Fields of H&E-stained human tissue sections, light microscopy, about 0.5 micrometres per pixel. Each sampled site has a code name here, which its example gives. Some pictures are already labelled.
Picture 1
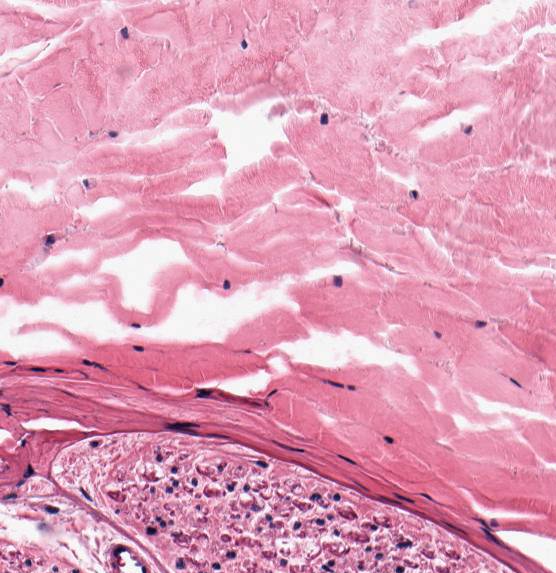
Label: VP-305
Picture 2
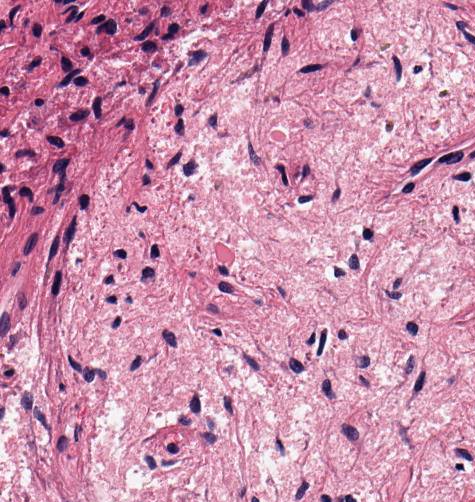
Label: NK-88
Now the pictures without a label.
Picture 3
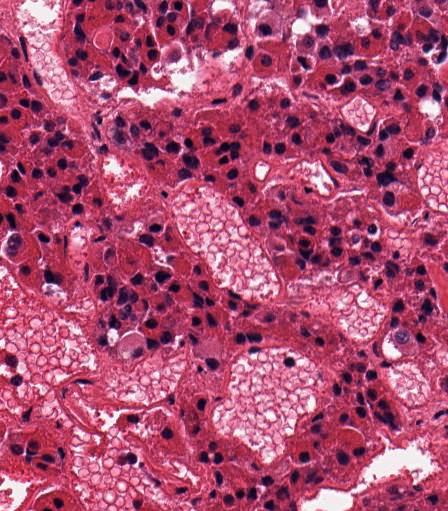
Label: NK-88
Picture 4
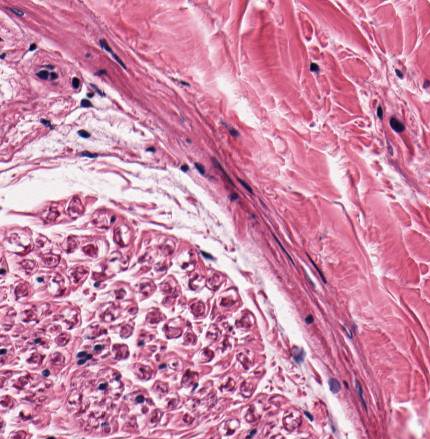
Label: VP-305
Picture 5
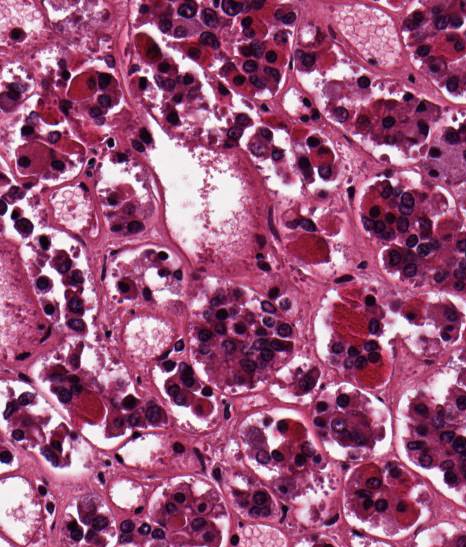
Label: NK-88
